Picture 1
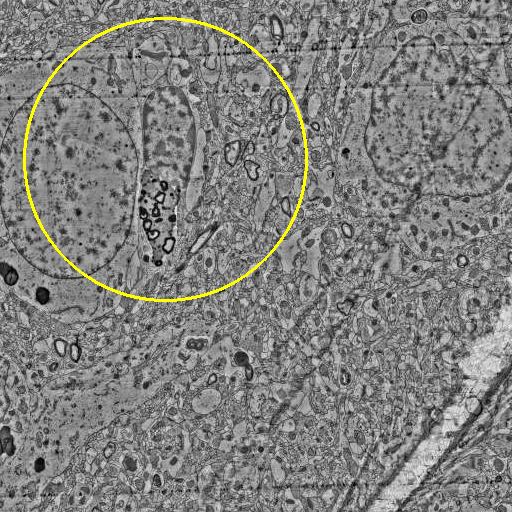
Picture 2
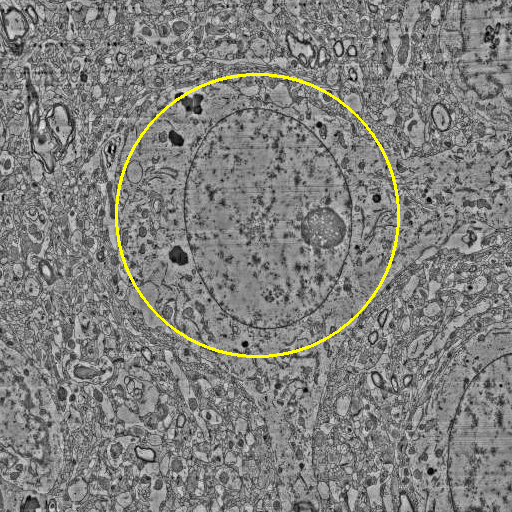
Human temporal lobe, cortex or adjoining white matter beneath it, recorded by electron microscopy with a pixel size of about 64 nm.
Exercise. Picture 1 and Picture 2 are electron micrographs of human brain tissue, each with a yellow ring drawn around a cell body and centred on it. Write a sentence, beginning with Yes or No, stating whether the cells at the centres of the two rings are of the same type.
No, the cells at the centres of the rings are of two types.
